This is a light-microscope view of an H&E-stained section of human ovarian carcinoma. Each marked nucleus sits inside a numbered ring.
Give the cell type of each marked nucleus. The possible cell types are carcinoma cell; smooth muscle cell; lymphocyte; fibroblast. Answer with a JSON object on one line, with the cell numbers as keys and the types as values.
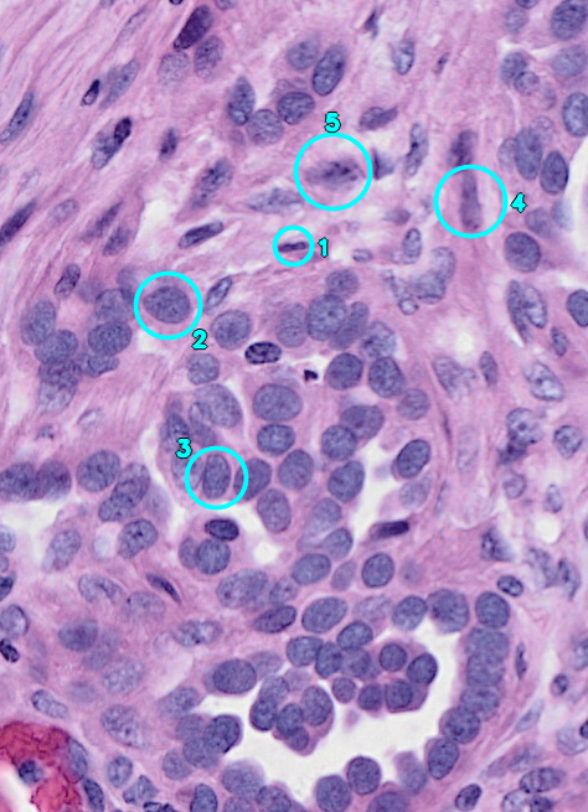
{"1": "fibroblast", "2": "carcinoma cell", "3": "carcinoma cell", "4": "fibroblast", "5": "fibroblast"}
